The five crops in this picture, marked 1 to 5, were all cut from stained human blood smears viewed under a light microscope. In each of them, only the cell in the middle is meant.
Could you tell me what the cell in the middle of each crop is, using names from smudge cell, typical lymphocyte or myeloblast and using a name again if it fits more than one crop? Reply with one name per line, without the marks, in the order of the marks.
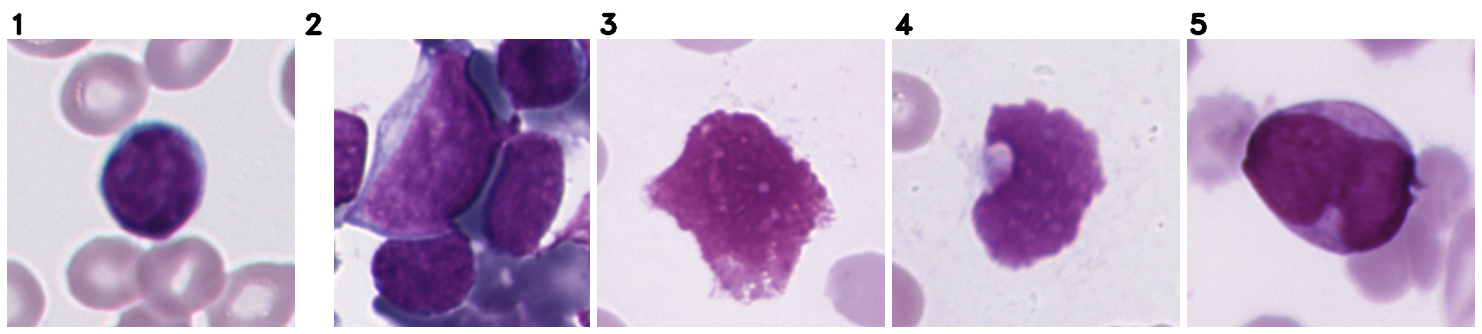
typical lymphocyte
myeloblast
smudge cell
smudge cell
myeloblast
